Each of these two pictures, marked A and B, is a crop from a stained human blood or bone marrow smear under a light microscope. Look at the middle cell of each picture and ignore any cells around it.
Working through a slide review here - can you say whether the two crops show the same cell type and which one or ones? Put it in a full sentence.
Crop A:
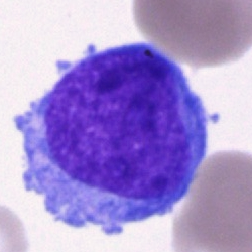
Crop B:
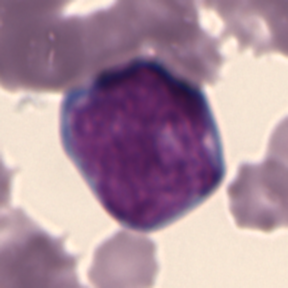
Yes, blasts are present at the centre of both crops.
